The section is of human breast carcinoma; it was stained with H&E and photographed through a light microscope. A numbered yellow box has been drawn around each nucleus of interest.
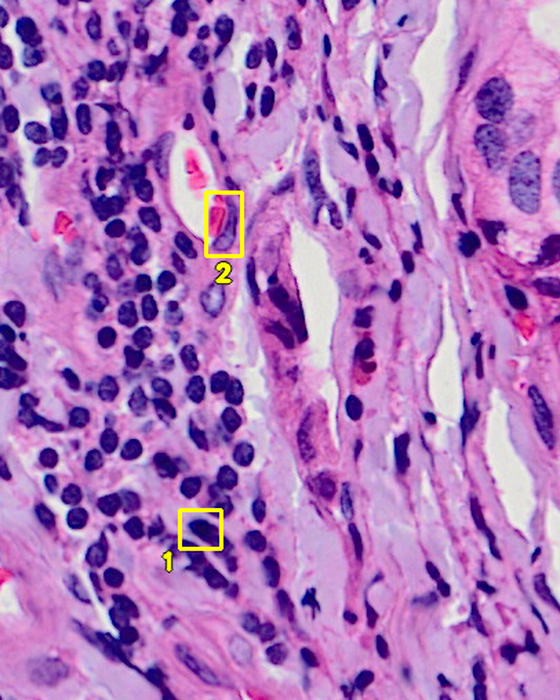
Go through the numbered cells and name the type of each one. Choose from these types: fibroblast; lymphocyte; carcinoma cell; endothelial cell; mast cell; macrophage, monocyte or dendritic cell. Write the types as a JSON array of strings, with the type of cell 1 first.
["lymphocyte", "endothelial cell"]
